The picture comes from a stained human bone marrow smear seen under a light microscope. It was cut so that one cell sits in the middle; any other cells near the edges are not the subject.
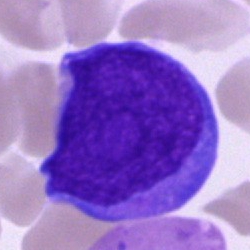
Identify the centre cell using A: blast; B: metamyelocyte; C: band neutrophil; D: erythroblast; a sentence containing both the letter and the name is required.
In this crop the central cell is a blast, which option A correctly states.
